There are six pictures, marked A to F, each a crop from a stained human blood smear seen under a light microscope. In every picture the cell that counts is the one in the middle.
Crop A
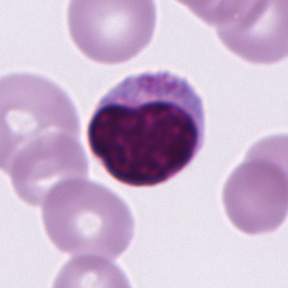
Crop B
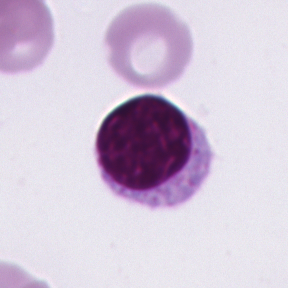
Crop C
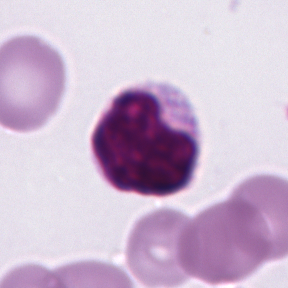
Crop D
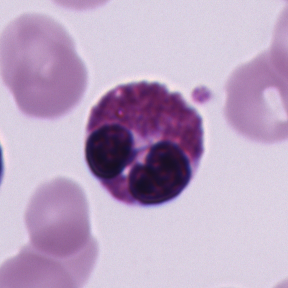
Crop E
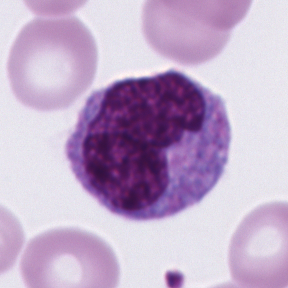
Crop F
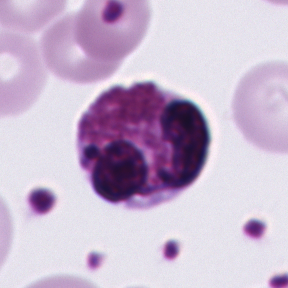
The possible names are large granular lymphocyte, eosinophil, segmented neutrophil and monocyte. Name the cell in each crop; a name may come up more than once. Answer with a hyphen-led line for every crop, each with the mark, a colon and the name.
- A: large granular lymphocyte
- B: large granular lymphocyte
- C: large granular lymphocyte
- D: eosinophil
- E: monocyte
- F: eosinophil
